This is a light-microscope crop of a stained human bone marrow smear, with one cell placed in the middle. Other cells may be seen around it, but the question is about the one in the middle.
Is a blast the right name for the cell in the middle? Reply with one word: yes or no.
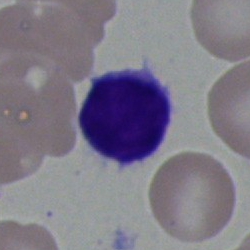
no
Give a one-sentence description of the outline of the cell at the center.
The cell membrane follows an uneven contour, either ragged or bearing projections.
